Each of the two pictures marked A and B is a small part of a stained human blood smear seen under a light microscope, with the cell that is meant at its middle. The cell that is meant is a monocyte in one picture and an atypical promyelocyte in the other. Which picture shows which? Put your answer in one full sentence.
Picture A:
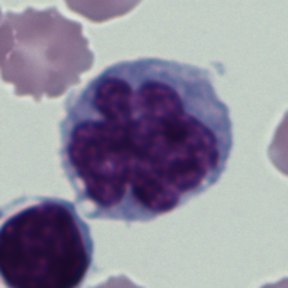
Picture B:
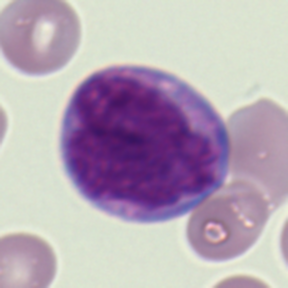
In picture A the cell is a monocyte; in picture B, an atypical promyelocyte.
